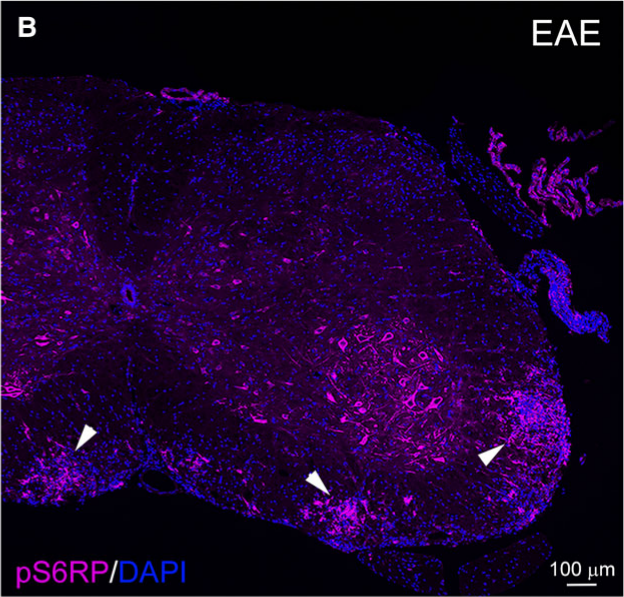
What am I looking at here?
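This cross section of the spinal cord shows inflammatory foci in the white matter. At several places along the outer edge, dense clusters of blue nuclei form patches much more crowded than the surrounding white matter, and these patches carry bright magenta. In the grey matter, large multipolar neurons are still outlined in magenta. Cell-rich tissue also lies on the meningeal surface outside the cord.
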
